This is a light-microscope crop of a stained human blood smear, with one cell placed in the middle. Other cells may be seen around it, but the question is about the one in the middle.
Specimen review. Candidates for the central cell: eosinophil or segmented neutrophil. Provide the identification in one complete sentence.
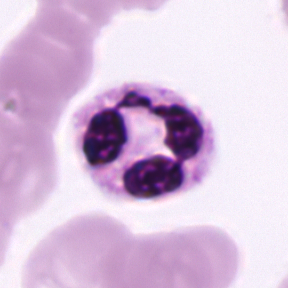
This particular crop is centered on a segmented neutrophil.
